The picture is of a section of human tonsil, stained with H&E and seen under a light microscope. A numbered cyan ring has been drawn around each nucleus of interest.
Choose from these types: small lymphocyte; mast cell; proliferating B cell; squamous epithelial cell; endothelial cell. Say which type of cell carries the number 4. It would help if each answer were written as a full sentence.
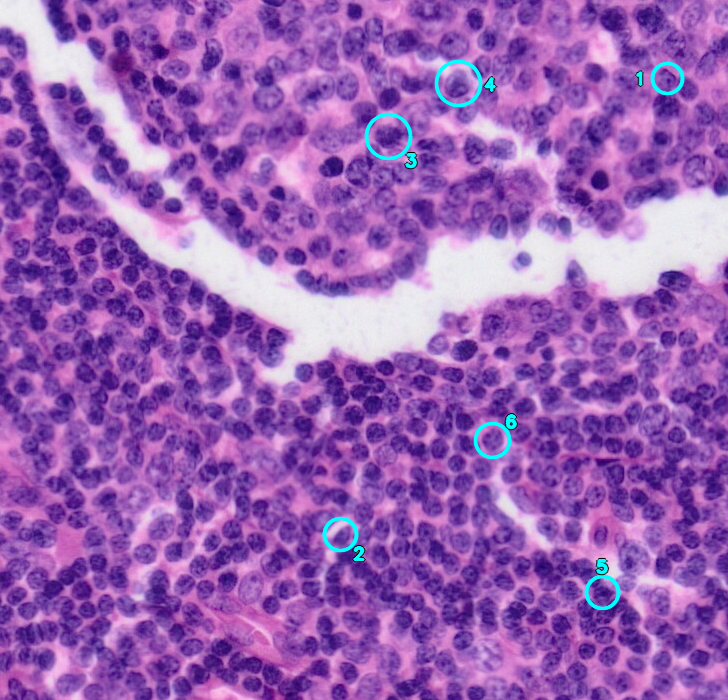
Identified by the number 4, the cell is a proliferating B cell.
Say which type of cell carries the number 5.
The cell numbered 5 has been identified as a small lymphocyte.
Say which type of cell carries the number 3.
The identity of cell 3 is that of a proliferating B cell.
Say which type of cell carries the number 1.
In the tissue shown, cell 1 is a proliferating B cell.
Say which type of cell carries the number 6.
Among the marked cells, number 6 is a small lymphocyte.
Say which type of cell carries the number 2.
The cell referred to as 2 is a small lymphocyte.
